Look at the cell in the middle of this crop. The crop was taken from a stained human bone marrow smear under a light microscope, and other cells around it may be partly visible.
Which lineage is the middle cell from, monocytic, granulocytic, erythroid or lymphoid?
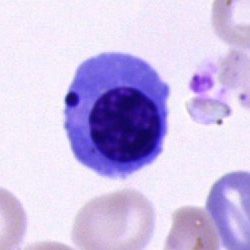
erythroid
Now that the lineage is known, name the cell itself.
erythroblast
